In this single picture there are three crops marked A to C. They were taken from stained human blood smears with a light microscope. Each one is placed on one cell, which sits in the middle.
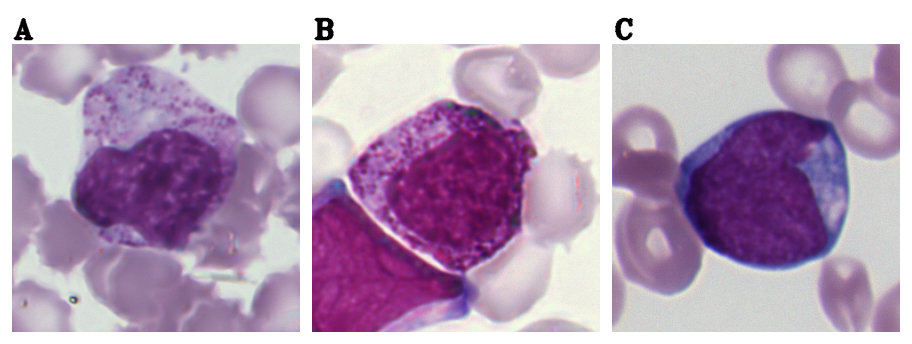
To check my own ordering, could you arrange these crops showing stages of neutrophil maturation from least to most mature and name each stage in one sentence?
Listed in order of increasing maturity, the crops are crop C (a myeloblast), crop B (a myelocyte) and crop A (a metamyelocyte).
